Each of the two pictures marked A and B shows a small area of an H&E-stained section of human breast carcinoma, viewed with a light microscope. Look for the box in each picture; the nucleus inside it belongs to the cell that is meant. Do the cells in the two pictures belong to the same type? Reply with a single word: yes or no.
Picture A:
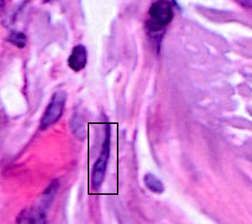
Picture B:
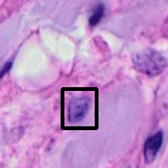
no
